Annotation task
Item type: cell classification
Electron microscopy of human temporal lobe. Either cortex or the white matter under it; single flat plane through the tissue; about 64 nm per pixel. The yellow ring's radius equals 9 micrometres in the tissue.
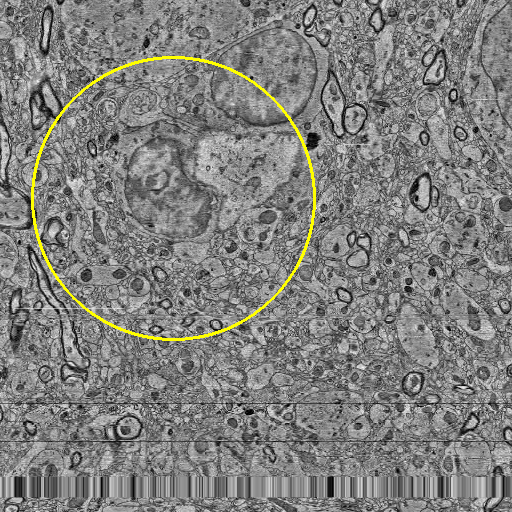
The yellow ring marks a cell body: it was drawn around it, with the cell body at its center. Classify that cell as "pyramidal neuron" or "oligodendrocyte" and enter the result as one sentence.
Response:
The ring's center falls on an oligodendrocyte.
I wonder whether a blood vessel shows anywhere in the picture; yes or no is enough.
No, there is none.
